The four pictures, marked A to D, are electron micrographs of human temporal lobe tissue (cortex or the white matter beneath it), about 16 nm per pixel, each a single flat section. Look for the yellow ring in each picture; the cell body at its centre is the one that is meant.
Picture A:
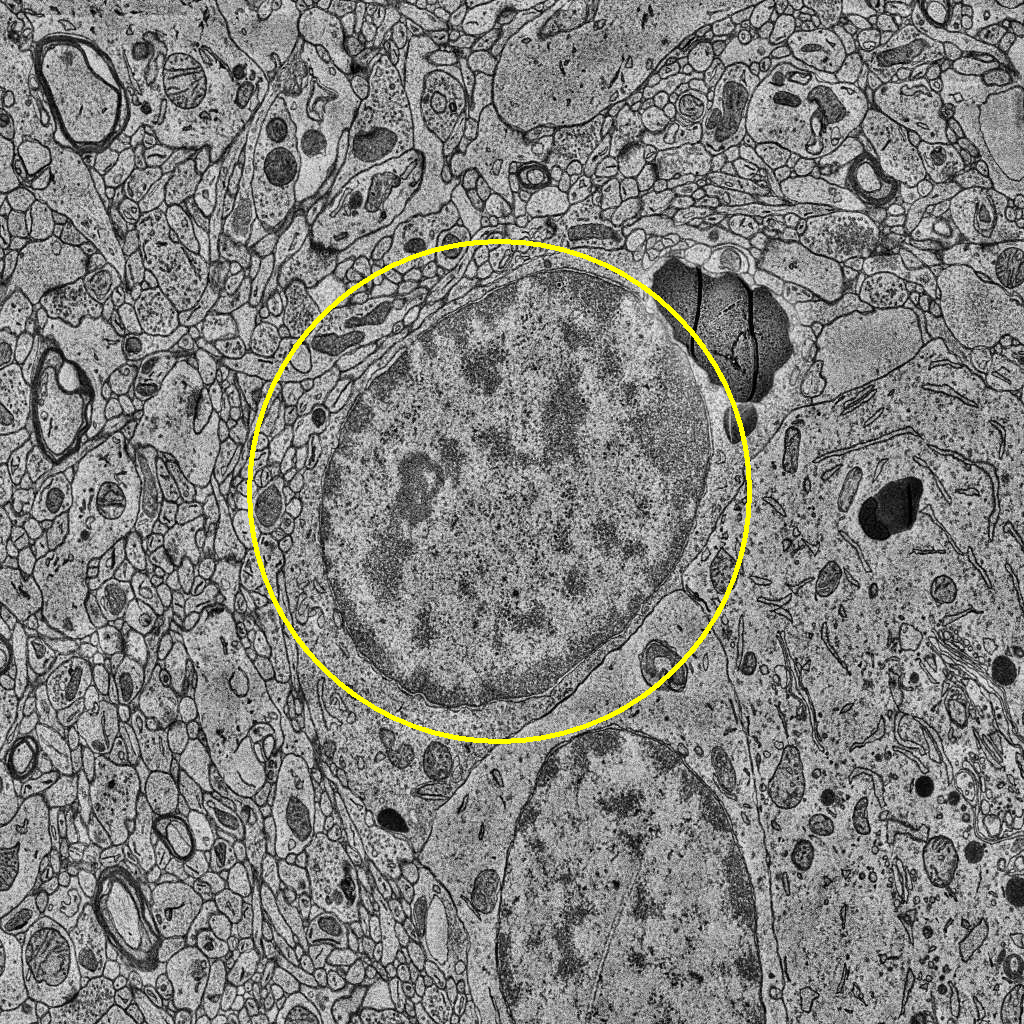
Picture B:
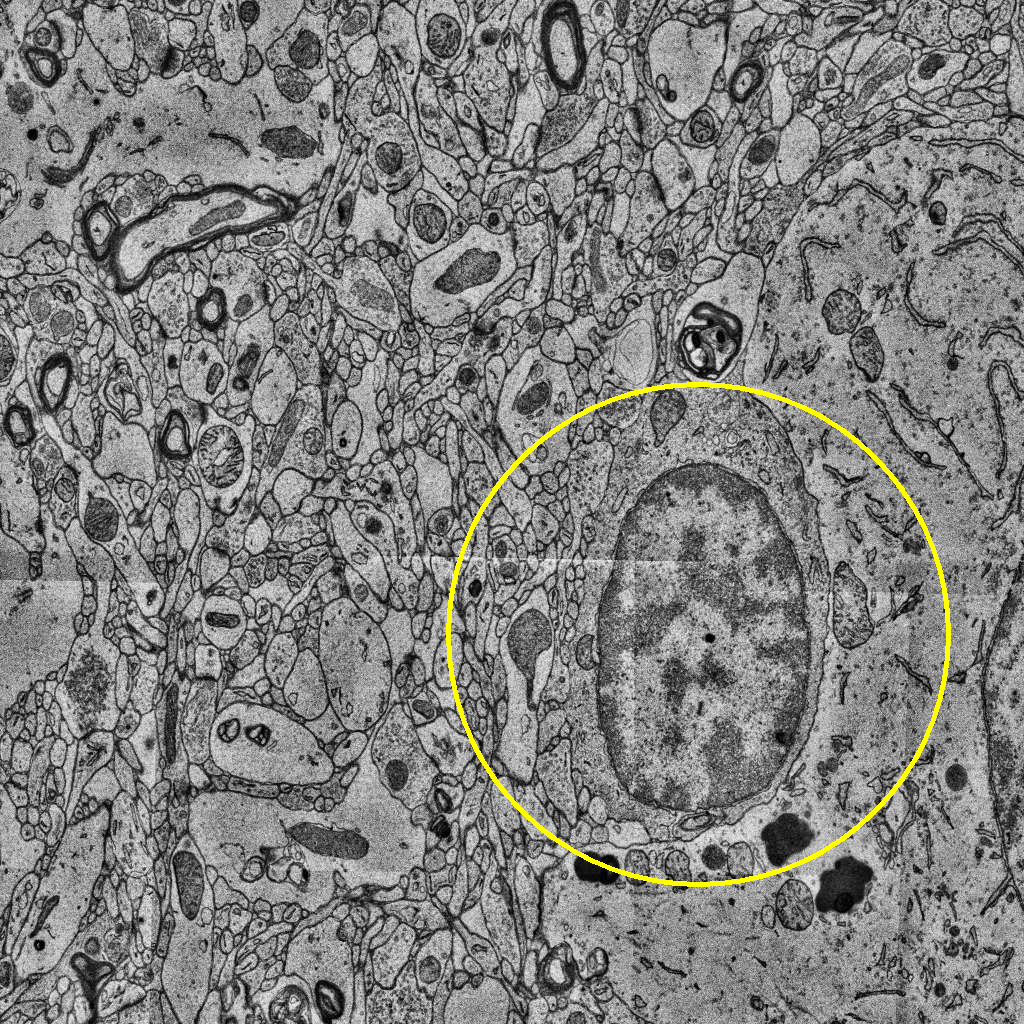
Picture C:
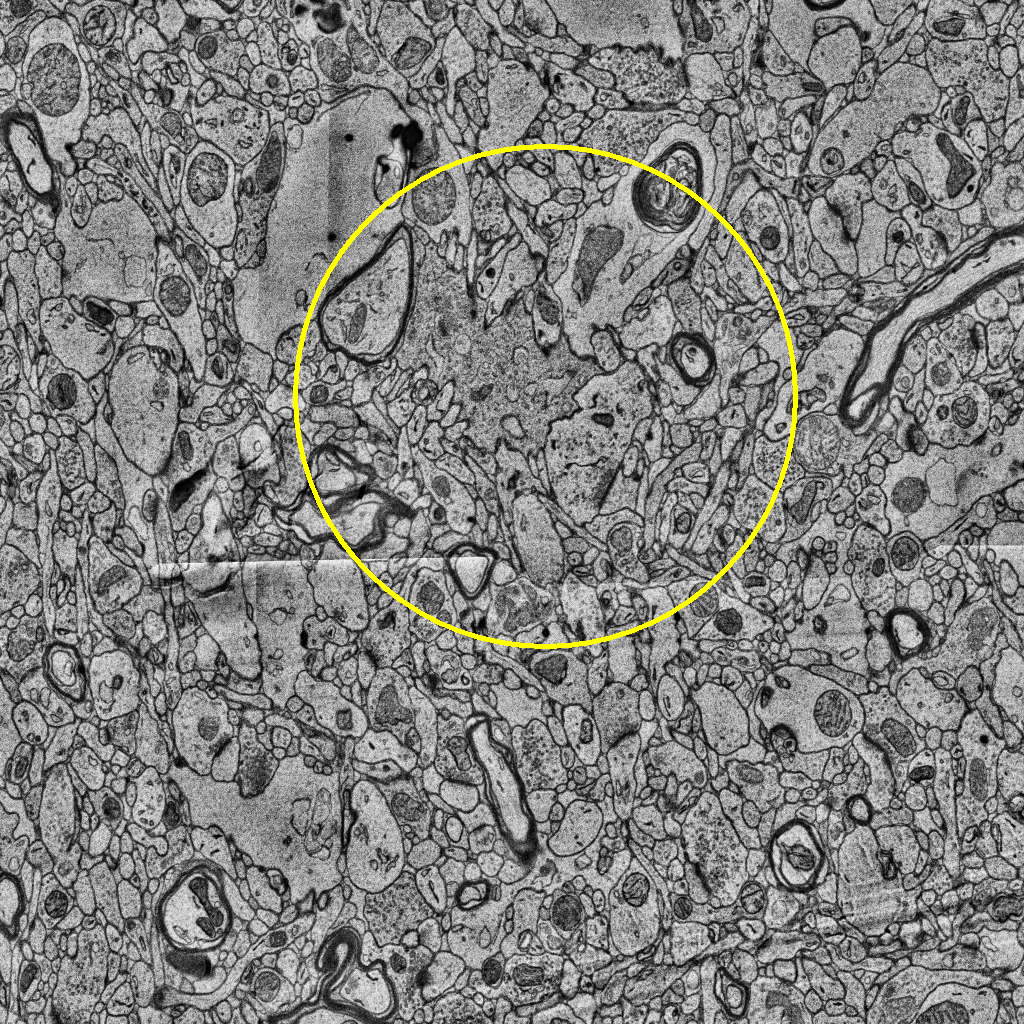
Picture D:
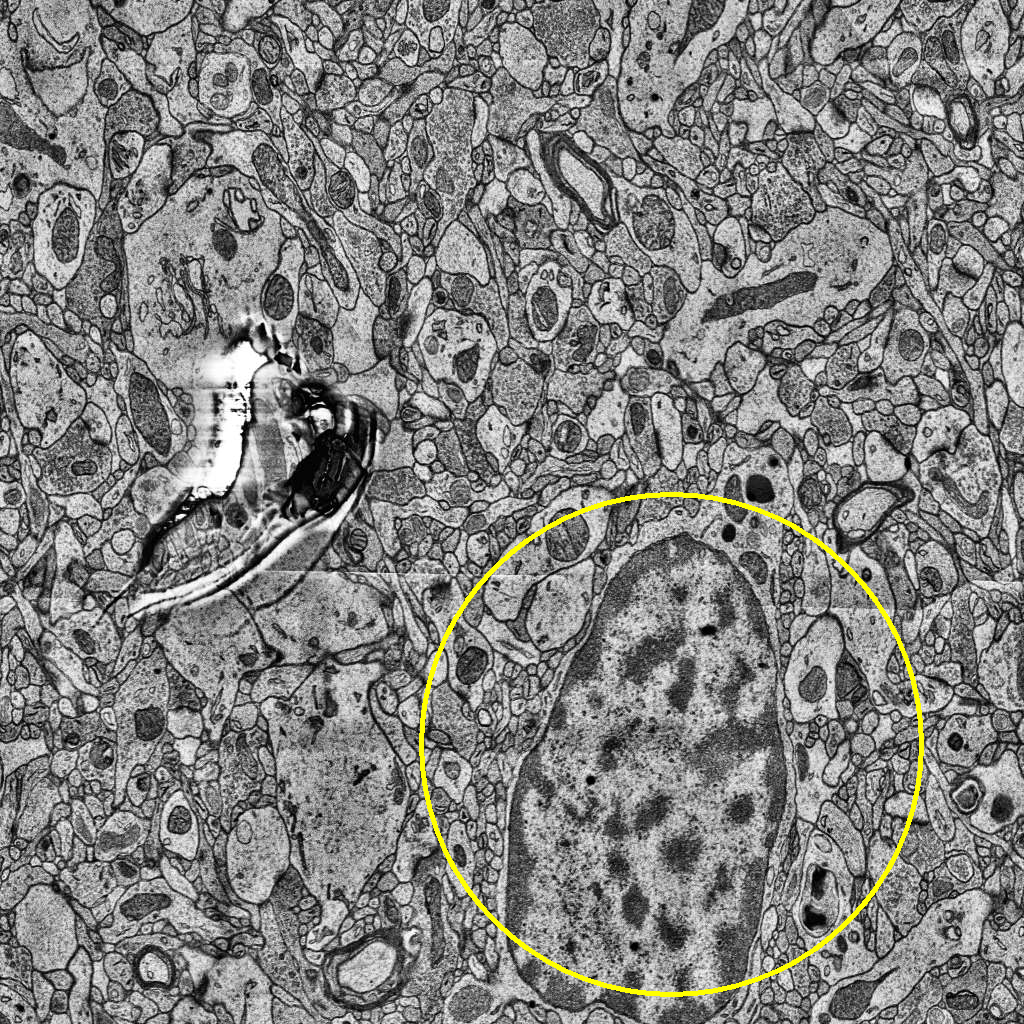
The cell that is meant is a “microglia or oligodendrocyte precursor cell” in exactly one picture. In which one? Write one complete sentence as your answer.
Picture D shows the “microglia or oligodendrocyte precursor cell”.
